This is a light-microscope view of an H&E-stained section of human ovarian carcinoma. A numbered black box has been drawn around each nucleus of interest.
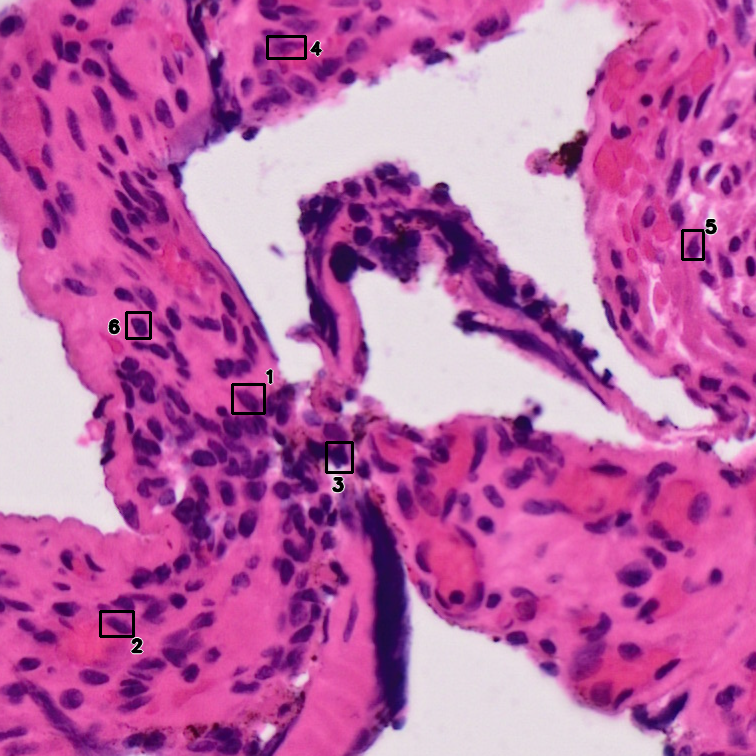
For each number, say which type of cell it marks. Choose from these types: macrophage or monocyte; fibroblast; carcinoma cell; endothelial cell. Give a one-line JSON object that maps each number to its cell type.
{"1": "carcinoma cell", "2": "endothelial cell", "3": "carcinoma cell", "4": "endothelial cell", "5": "fibroblast", "6": "macrophage or monocyte"}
